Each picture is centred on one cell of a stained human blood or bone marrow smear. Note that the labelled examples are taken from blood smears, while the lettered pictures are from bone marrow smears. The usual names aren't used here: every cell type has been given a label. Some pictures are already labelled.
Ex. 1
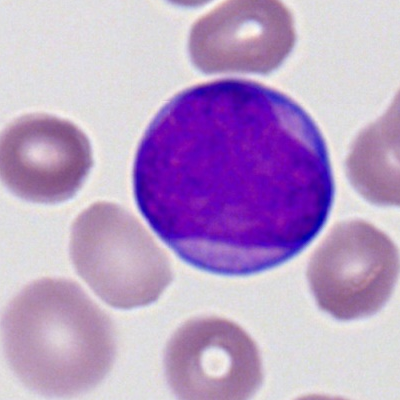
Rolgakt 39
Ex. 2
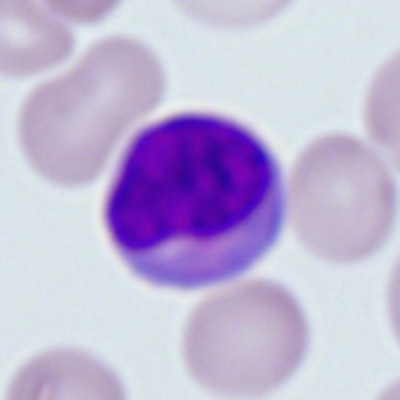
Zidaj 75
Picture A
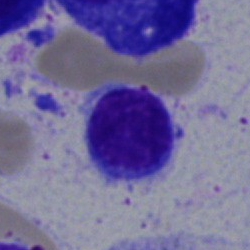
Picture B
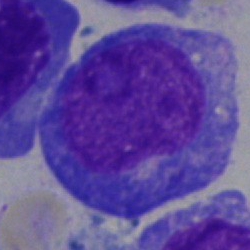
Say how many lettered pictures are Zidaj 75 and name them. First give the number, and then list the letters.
Count: 1 (A)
